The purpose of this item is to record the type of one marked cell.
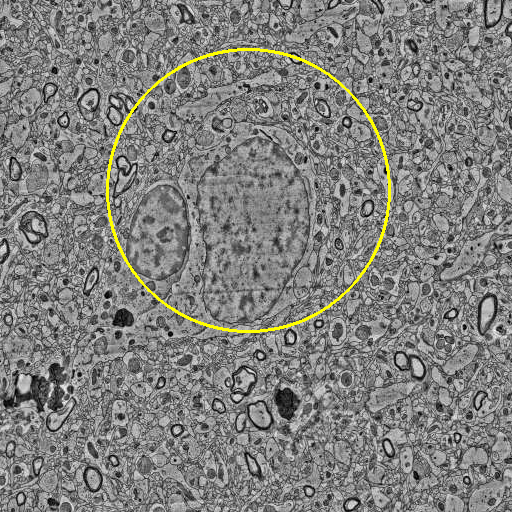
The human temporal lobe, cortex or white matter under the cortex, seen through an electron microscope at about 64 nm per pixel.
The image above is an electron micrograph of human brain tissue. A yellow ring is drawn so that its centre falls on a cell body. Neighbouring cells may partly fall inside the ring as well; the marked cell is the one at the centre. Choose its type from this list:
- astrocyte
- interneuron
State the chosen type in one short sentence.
What the ring marks here is an interneuron.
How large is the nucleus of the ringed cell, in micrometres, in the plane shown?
The nucleus has a long axis of about 10 micrometres and a short axis of about 8 micrometres in this plane.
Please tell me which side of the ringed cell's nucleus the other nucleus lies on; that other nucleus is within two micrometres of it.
That second nucleus is to the left of it.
